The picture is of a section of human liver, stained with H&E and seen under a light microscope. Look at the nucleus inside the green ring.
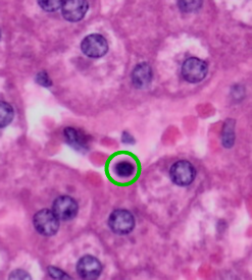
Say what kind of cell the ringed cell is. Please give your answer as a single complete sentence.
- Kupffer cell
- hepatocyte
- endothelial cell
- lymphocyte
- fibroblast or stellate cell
In the tissue under study, the ringed cell is a lymphocyte.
